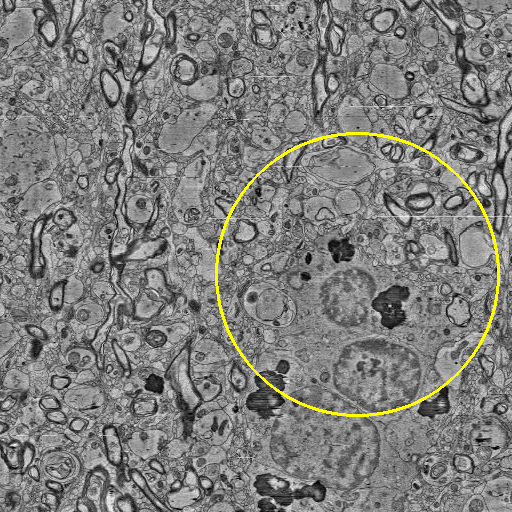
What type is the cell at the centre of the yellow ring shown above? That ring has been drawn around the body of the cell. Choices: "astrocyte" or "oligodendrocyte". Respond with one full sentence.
My answer is that an oligodendrocyte lies at the centre of the yellow ring above.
